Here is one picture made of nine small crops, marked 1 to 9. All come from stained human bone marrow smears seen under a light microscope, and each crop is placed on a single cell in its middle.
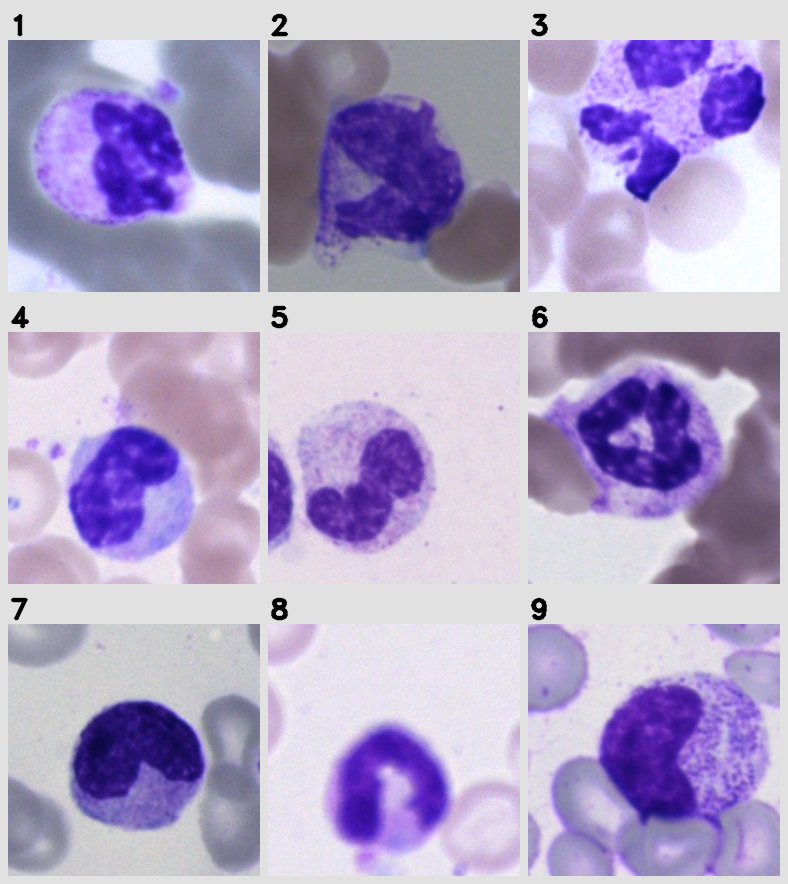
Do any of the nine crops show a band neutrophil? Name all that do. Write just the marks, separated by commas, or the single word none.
none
